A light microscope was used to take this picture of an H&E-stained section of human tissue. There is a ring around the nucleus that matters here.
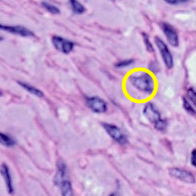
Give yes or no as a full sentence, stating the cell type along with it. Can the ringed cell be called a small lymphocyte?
No, the ringed cell is reported as a fibroblast rather than a small lymphocyte.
